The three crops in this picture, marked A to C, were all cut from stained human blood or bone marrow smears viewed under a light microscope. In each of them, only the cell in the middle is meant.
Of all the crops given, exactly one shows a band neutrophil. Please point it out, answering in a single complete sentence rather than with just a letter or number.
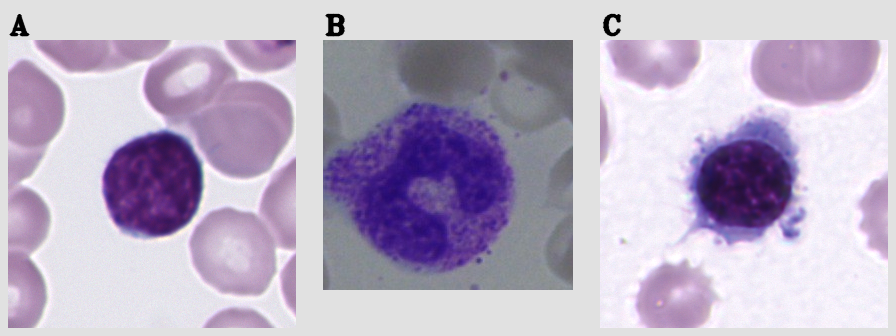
Crop B, and no other, shows a band neutrophil.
